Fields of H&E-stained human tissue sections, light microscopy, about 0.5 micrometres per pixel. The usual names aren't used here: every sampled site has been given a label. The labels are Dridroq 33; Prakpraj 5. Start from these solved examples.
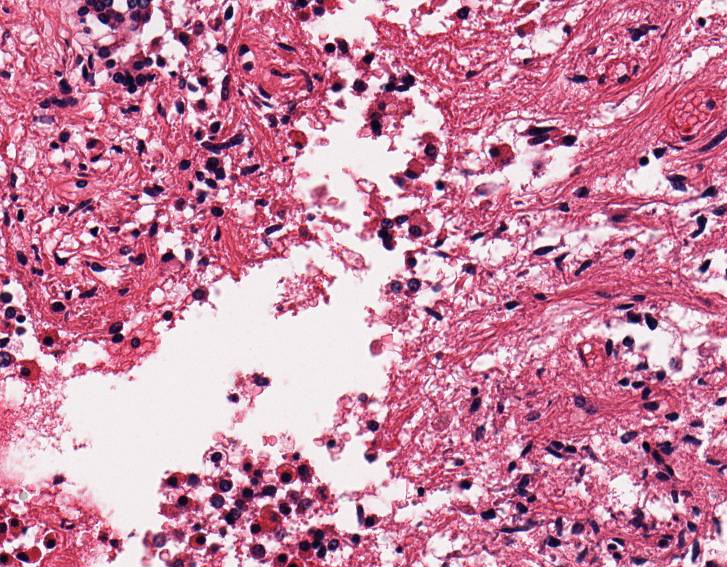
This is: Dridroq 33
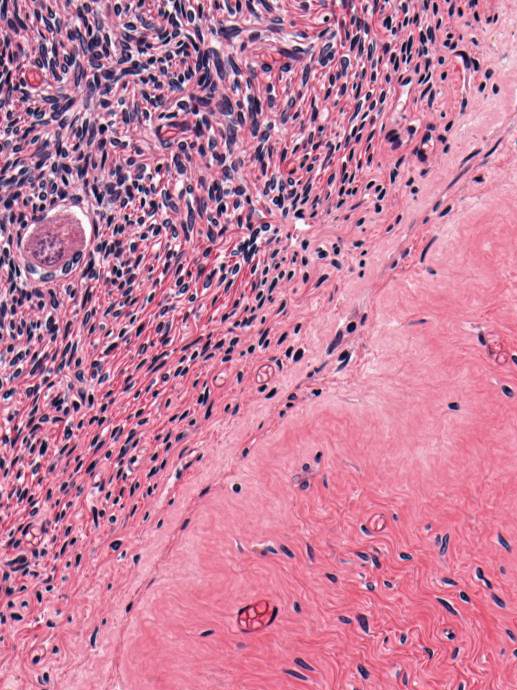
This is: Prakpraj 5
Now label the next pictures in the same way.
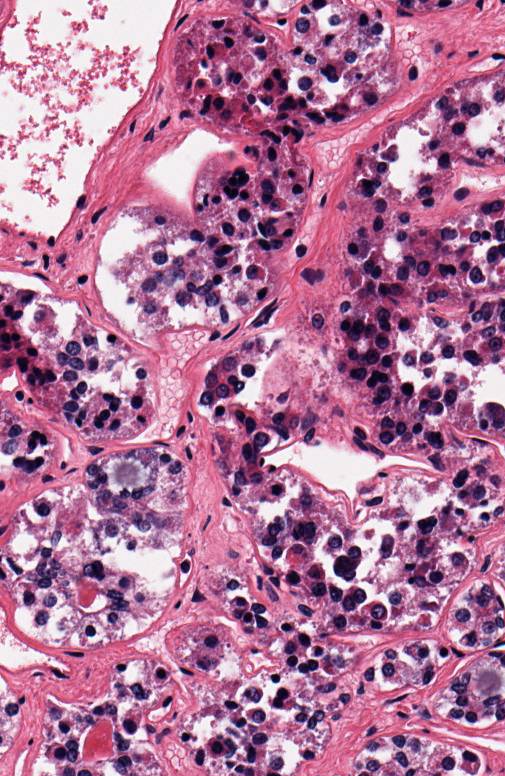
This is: Dridroq 33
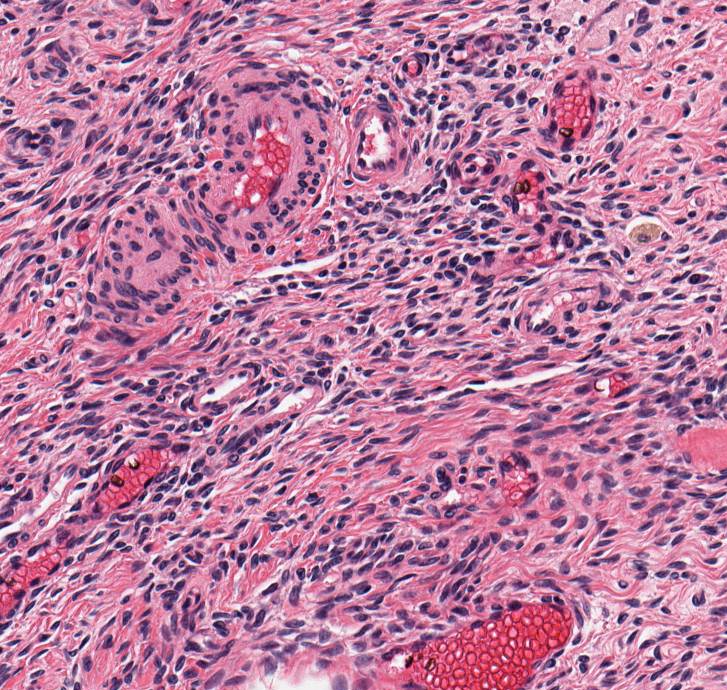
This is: Prakpraj 5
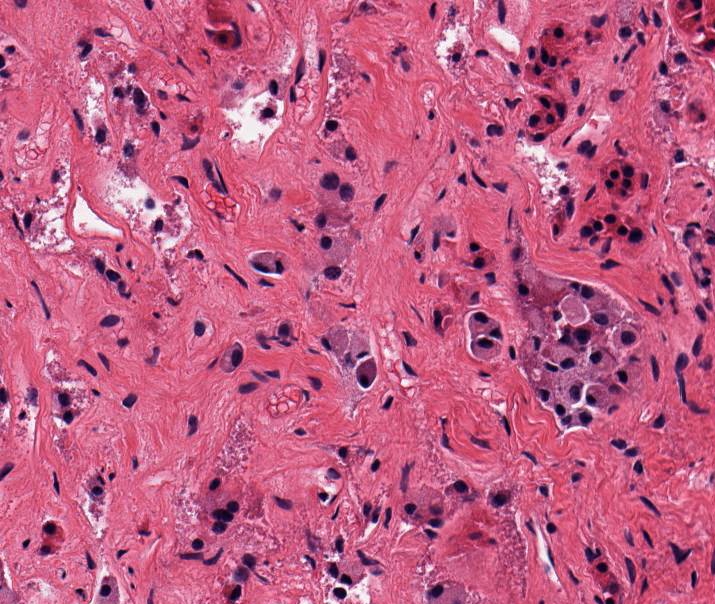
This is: Dridroq 33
